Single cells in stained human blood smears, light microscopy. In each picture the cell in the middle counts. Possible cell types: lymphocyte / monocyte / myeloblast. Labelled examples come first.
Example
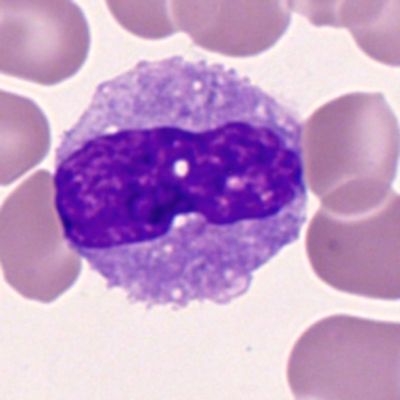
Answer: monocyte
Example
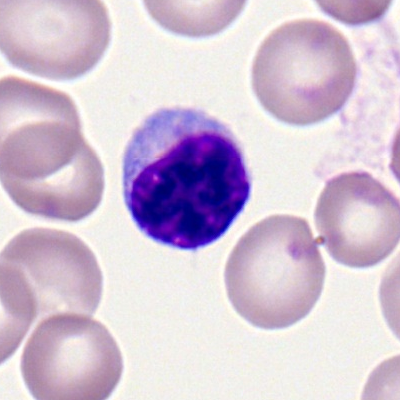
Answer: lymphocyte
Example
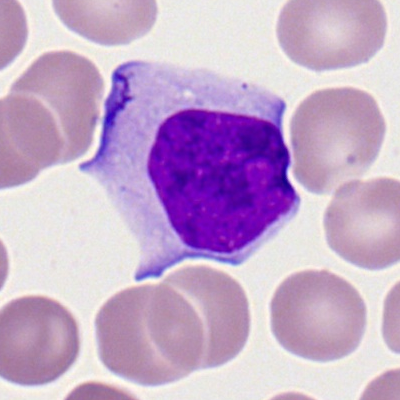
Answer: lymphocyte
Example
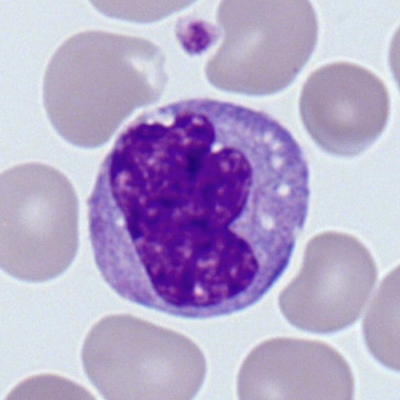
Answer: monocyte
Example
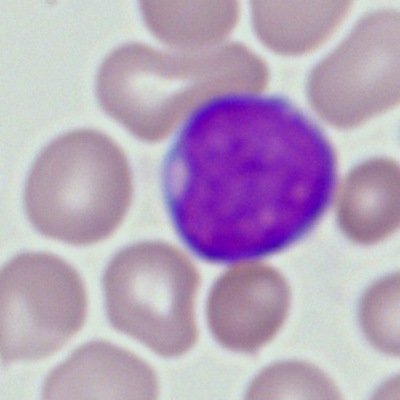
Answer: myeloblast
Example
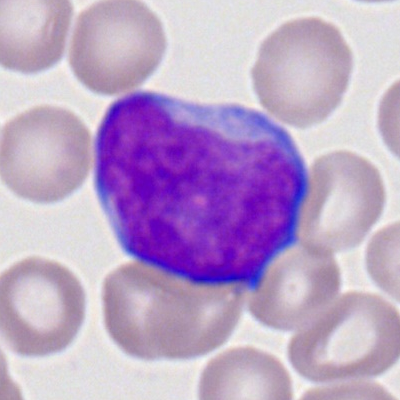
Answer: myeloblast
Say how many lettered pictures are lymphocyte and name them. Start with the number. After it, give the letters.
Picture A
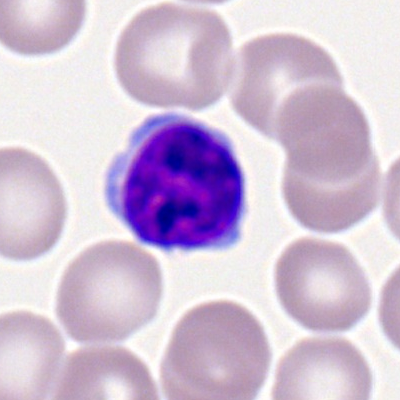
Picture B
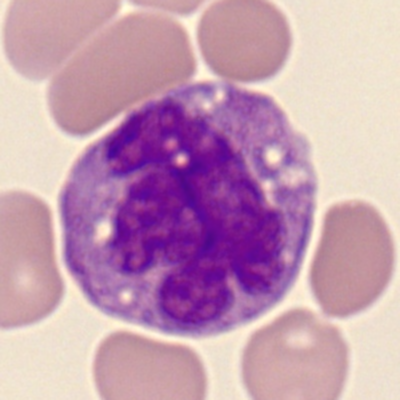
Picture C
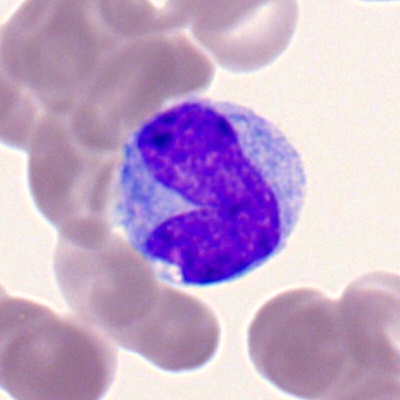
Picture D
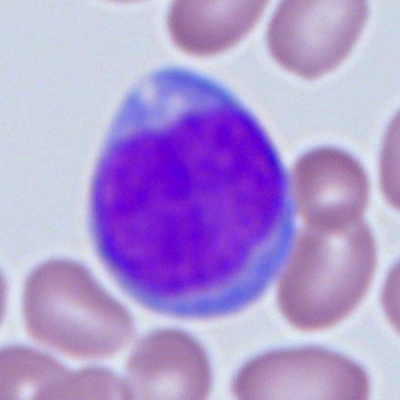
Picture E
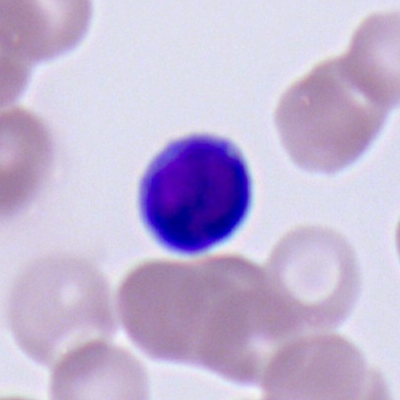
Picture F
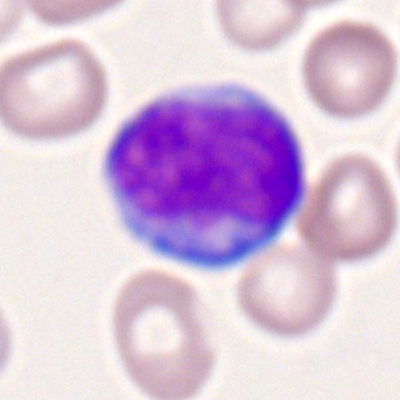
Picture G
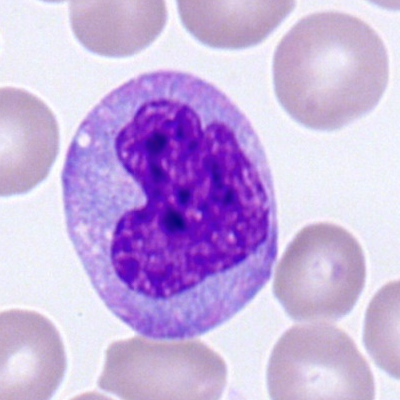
2: A, E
